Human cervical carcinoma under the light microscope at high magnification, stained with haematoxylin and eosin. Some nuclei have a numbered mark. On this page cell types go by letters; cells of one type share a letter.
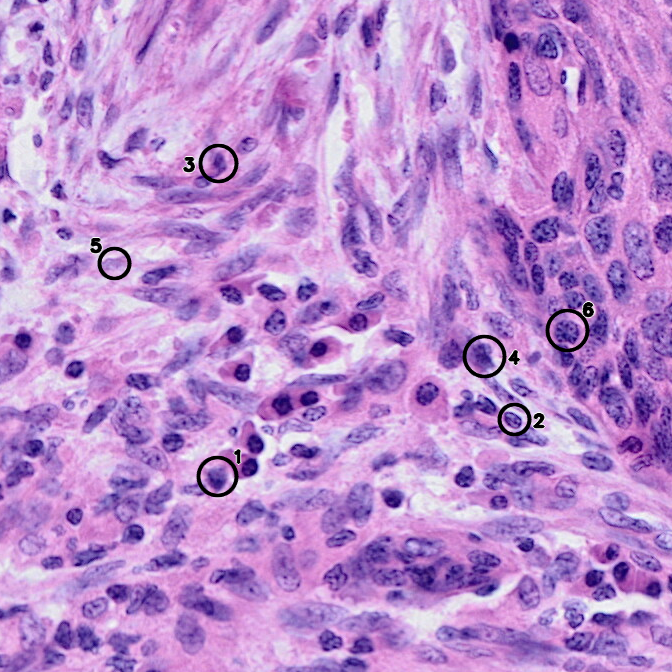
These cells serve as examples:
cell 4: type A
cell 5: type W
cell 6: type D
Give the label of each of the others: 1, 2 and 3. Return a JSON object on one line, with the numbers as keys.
{"1": "type A", "2": "type A", "3": "type A"}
